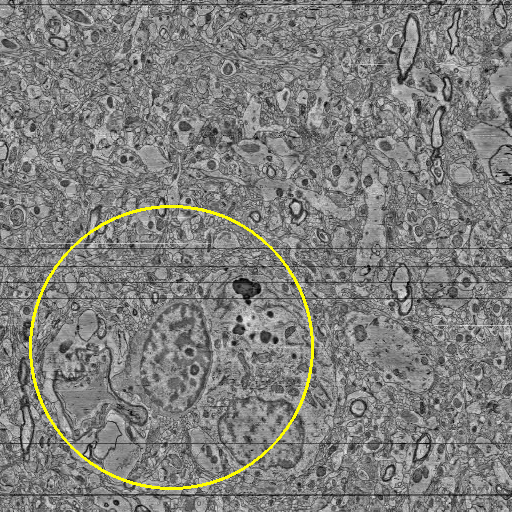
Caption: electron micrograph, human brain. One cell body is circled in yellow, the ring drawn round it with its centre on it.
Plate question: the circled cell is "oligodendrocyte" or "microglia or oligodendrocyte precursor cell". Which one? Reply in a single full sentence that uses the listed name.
The yellow ring on the plate is centred on an oligodendrocyte, going by the listed names.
